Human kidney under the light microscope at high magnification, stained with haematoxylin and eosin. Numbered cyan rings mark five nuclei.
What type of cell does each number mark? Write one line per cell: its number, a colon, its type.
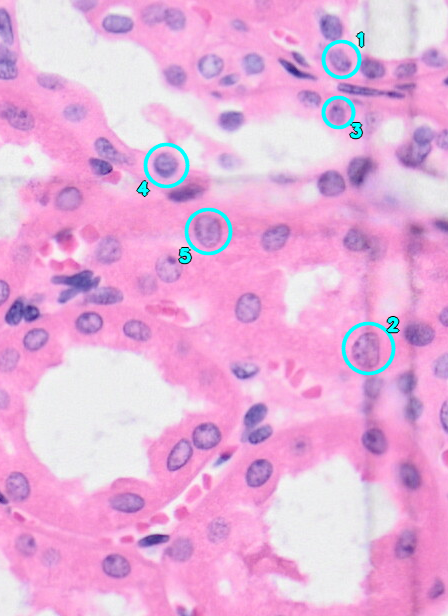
1: collecting duct cell
2: proximal tubule cell
3: collecting duct cell
4: collecting duct cell
5: proximal tubule cell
